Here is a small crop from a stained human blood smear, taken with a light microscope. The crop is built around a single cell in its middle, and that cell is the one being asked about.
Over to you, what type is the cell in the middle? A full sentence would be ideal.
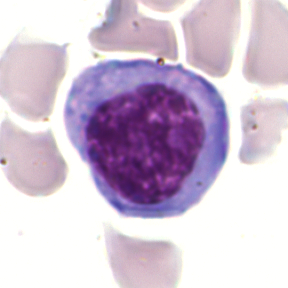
This crop's central cell is a plasma cell.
